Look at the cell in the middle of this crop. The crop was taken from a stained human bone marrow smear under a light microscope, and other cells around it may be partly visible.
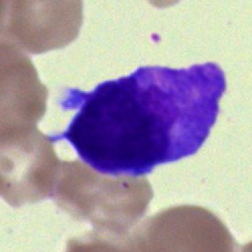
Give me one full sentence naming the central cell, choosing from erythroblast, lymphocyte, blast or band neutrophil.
Occupying the centre of the crop is a blast.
